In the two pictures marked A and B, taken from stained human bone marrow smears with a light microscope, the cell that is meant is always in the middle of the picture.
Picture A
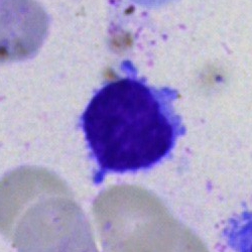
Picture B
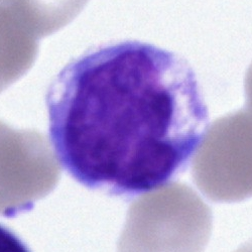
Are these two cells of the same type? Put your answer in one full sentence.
No, the types are not the same, since picture A shows a lymphocyte and picture B a monocyte.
